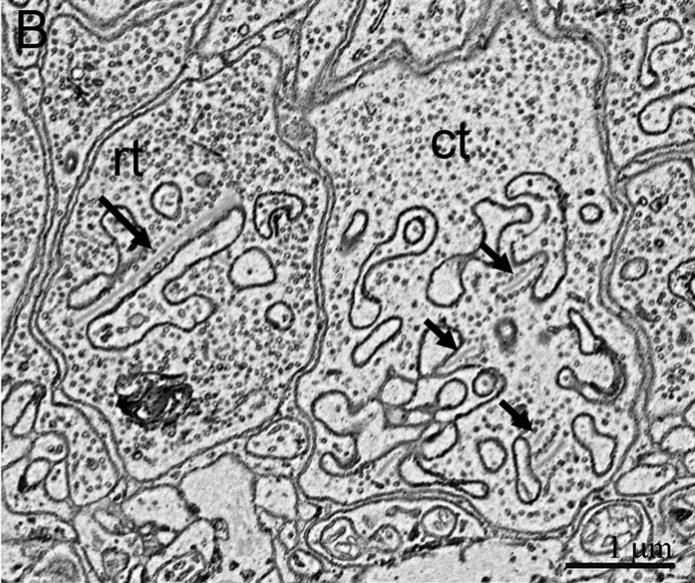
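At higher magnification, a rod terminal on the left and a larger cone terminal on the right sit side by side, both packed with small round synaptic vesicles. The rod terminal contains a single long, narrow synaptic ribbon running beside an invaginating profile. The cone terminal holds several shorter synaptic ribbons, each set next to pale, convoluted postsynaptic processes that push into the terminal from below.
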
